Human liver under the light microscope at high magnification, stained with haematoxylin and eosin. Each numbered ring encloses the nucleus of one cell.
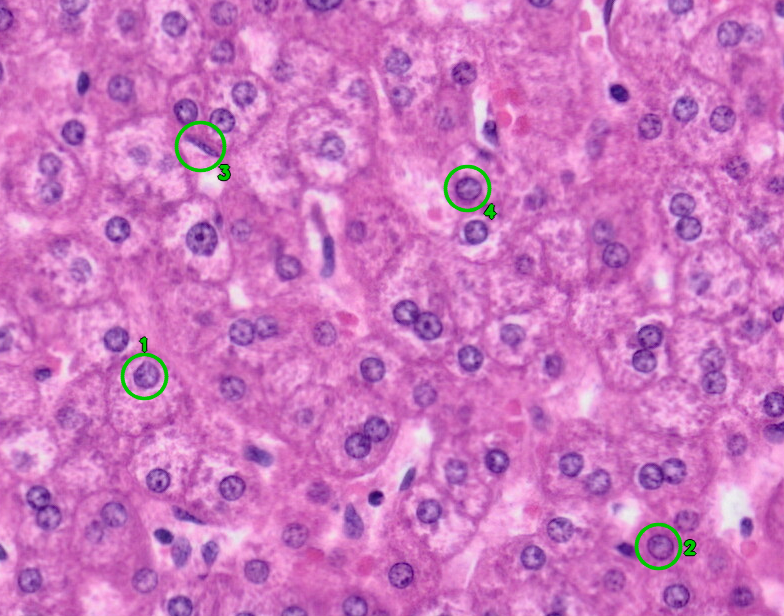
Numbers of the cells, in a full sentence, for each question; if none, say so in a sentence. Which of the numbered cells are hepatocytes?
The cells shown with numbers 1, 2 and 4 are hepatocytes.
